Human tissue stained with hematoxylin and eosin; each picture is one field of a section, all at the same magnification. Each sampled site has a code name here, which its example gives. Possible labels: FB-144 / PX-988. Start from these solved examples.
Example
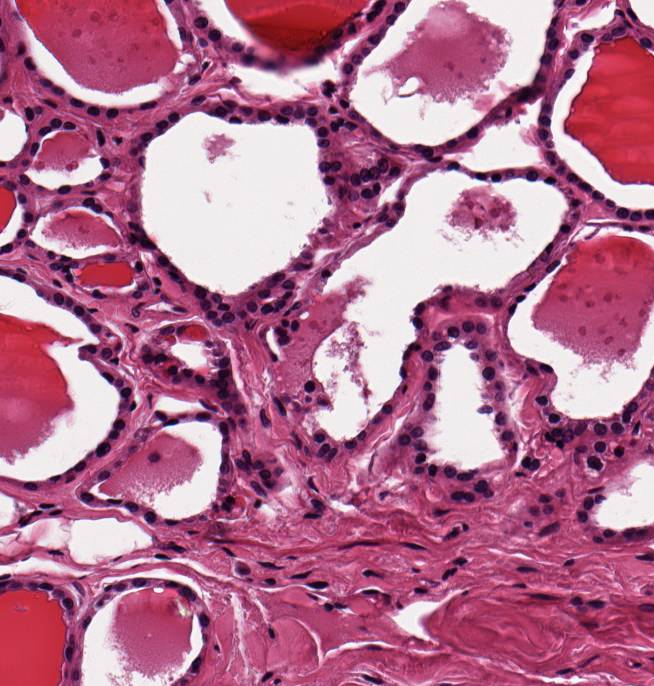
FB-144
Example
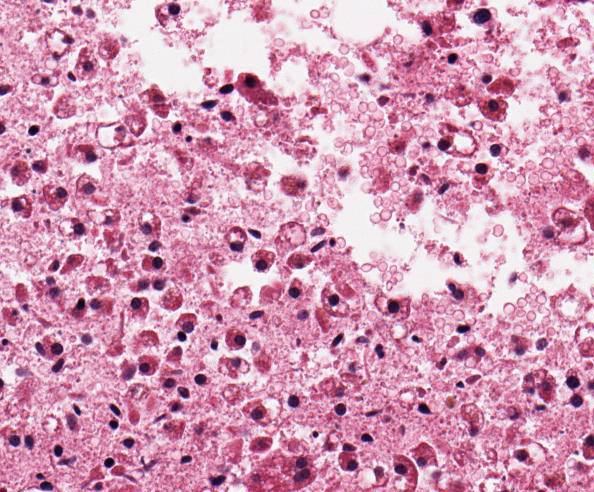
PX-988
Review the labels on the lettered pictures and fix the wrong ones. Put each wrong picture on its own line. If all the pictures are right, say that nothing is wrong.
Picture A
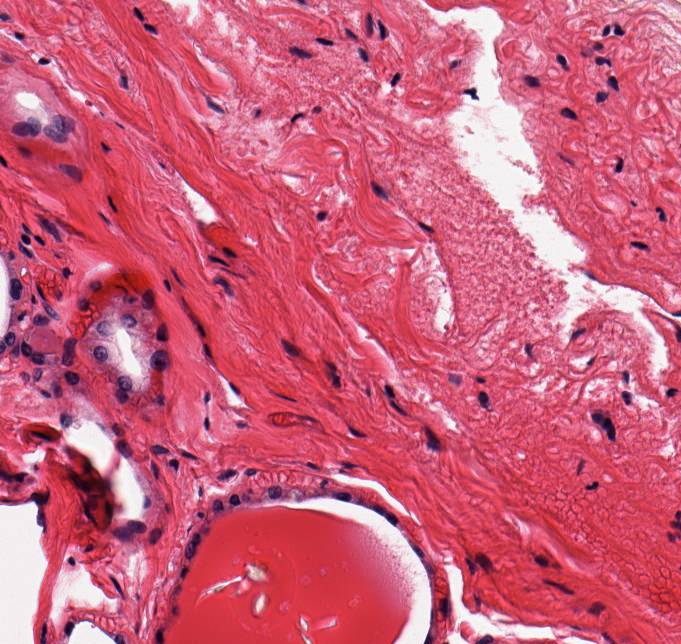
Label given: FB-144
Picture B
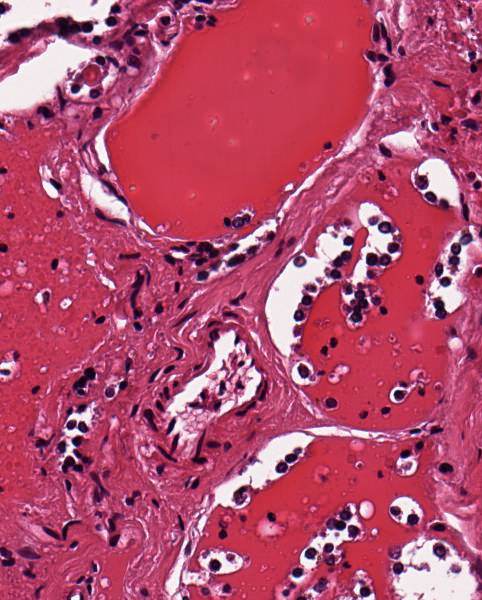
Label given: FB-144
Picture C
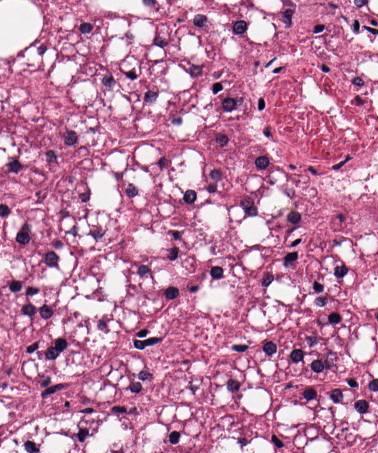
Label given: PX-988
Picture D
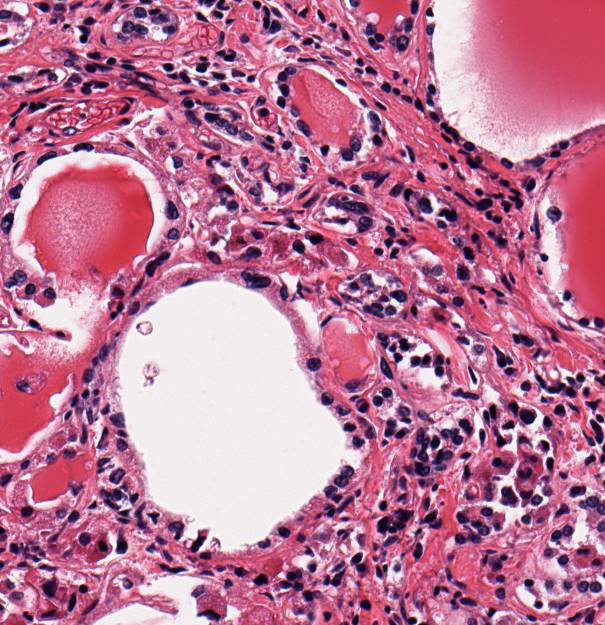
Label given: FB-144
No label is wrong.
